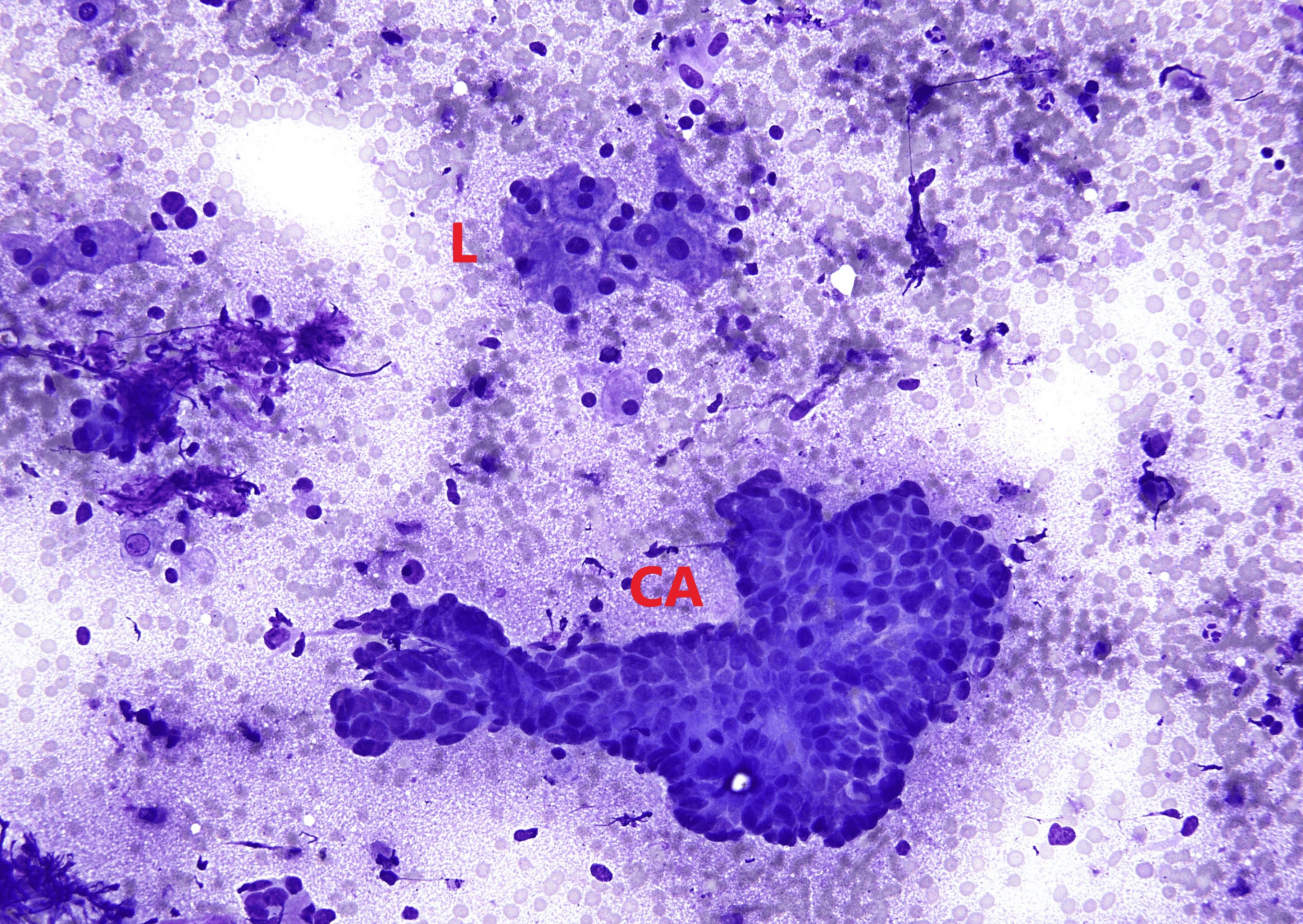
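This liver aspirate holds two kinds of epithelial cells against a background of many red blood cells: a small flat sheet of hepatocytes and a large cohesive cluster of tumor cells. The hepatocytes are large polygonal cells with abundant purple cytoplasm and round, centrally placed nuclei with visible nucleoli, and some of them are binucleate. The tumor cells form a big crowded, branching, three-dimensional group. Within it the nuclei are oval to elongated, dark and overlapping, and the cells have little cytoplasm. At the edges of the group the elongated nuclei line up side by side in a palisade-like border.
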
